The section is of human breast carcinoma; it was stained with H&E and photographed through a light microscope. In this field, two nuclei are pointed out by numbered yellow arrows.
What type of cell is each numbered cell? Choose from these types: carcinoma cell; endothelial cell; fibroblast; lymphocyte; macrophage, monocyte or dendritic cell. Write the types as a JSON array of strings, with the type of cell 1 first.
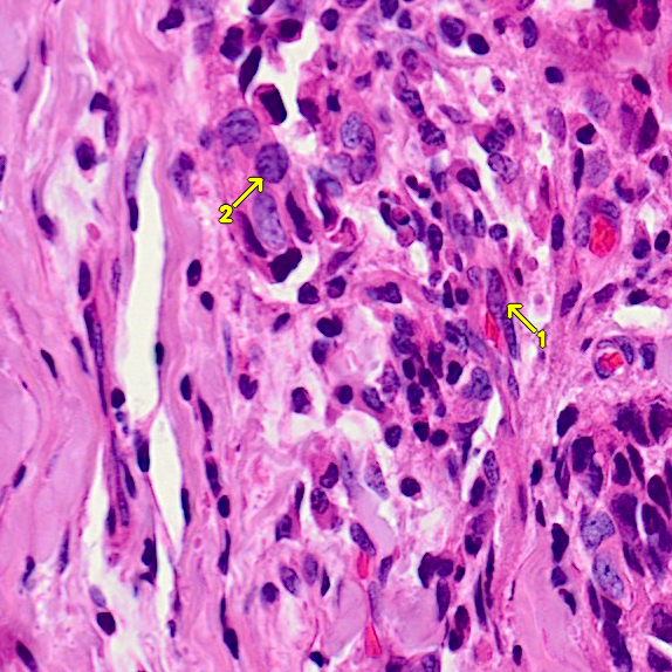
["endothelial cell", "carcinoma cell"]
